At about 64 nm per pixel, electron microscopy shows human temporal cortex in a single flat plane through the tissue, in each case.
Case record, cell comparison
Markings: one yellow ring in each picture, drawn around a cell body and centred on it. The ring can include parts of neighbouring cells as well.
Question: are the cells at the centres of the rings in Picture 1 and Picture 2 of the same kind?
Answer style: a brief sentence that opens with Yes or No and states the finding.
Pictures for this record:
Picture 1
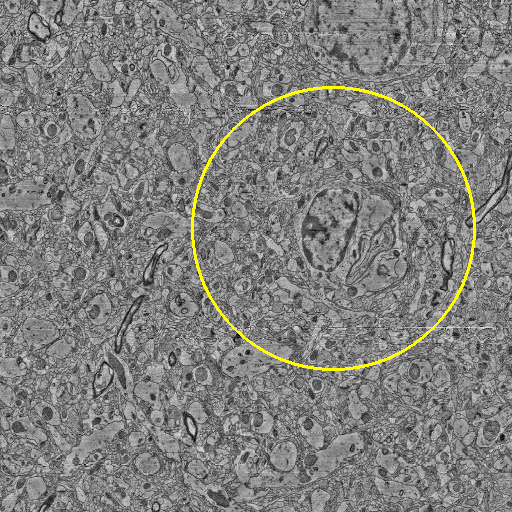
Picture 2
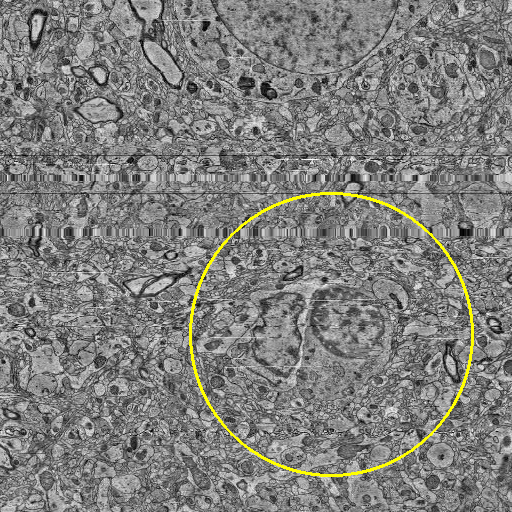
No, the cells in Picture 1 and Picture 2 are of two kinds.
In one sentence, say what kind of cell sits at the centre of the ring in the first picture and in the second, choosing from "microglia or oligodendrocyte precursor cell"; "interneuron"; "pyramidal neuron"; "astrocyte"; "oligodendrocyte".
The first picture's ringed cell is a microglial cell or oligodendrocyte precursor cell, while the second picture's is an oligodendrocyte.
